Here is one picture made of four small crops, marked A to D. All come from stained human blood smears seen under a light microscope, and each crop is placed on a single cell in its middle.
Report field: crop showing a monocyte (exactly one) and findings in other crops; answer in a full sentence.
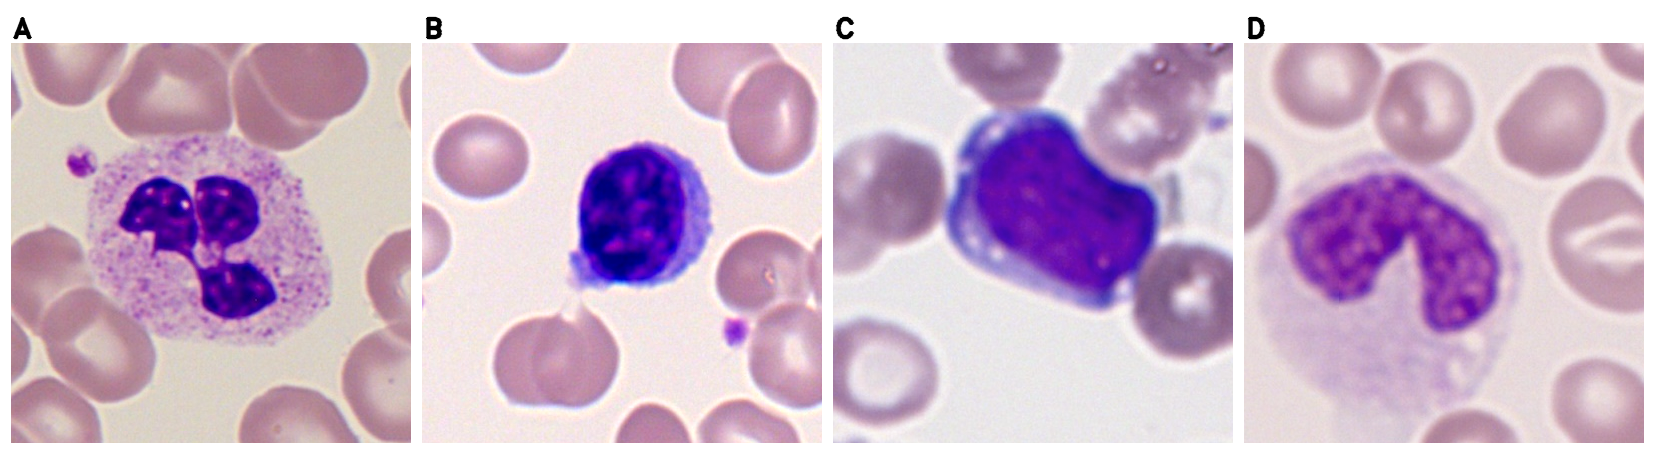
Placed in the middle of crop D is a monocyte, while crop A is a segmented neutrophil, crop B is a lymphocyte and crop C is a myeloblast.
